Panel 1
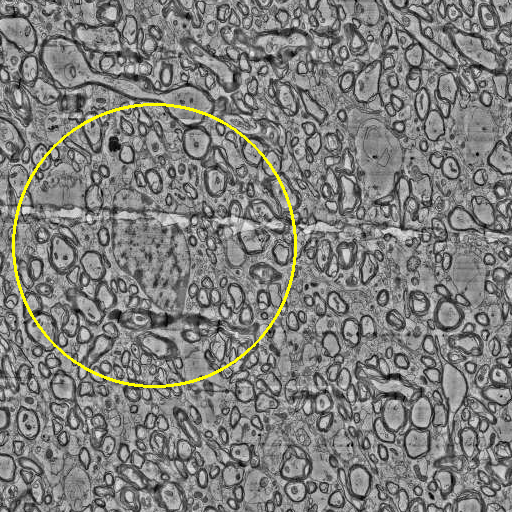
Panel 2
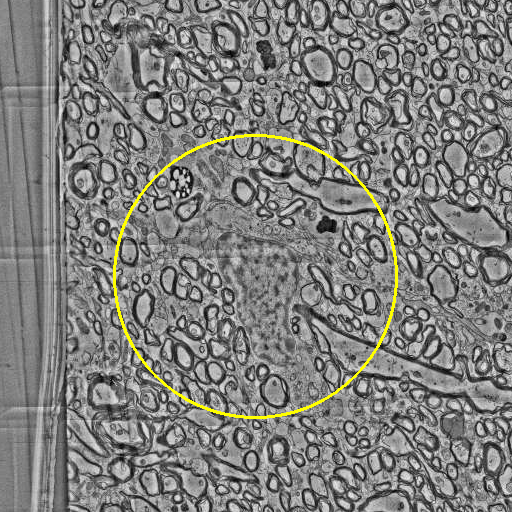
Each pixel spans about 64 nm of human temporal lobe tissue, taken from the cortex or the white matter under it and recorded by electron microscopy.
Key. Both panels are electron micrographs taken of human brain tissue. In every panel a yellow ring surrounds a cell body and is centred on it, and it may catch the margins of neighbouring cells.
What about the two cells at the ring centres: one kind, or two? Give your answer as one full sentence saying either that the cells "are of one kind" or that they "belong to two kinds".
Across Panels 1 and 2, the two cells at the ring centres are of one kind.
